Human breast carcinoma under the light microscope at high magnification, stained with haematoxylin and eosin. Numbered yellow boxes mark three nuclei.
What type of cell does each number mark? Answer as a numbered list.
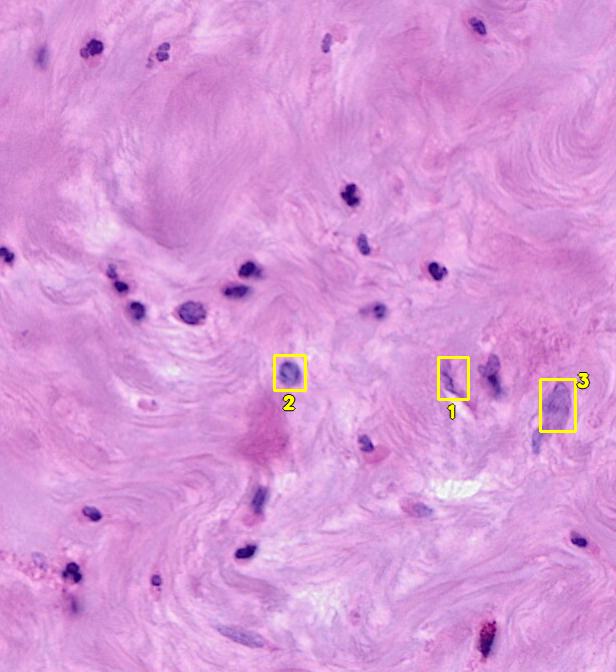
1. fibroblast
2. mast cell
3. fibroblast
